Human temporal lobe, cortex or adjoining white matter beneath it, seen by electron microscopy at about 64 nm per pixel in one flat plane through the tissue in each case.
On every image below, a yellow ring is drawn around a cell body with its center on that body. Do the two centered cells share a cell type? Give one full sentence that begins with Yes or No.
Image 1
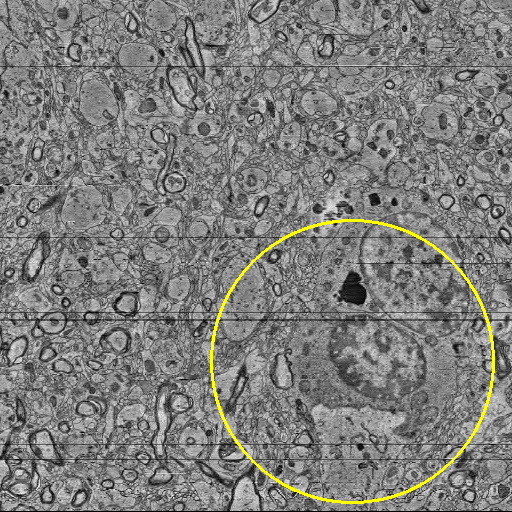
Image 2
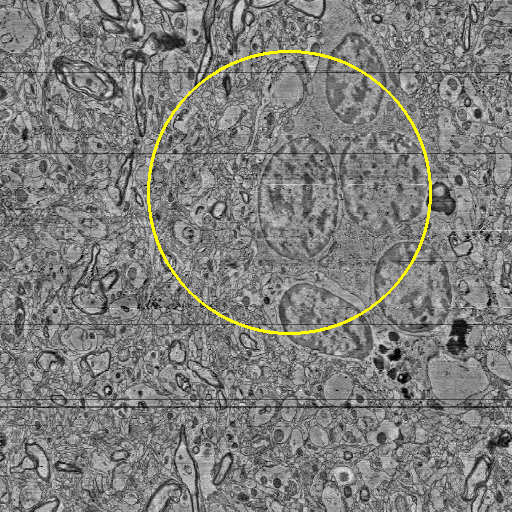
Yes, the centered cells in the two images are of a single cell type.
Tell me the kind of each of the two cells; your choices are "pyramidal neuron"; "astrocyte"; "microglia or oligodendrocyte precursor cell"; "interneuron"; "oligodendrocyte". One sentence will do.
In each of the two pictures, the ringed cell is an oligodendrocyte.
